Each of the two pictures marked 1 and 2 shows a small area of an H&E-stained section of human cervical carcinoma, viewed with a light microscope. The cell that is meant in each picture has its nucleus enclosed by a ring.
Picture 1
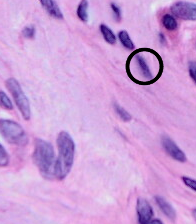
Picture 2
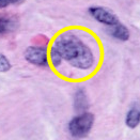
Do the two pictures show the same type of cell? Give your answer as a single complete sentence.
No; the cell in picture 1 is a fibroblast, while the one in picture 2 is an endothelial cell.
